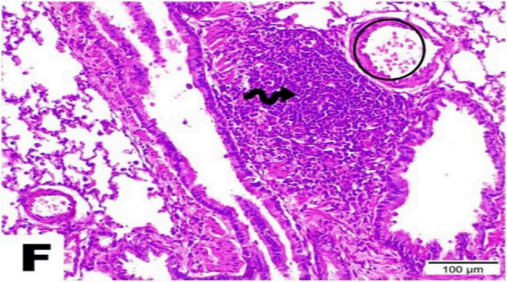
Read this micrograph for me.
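This lung section shows a dense focus of inflammatory cells lying beside bronchioles and blood vessels. The inflammatory cells are small and round with dark purple nuclei and scant cytoplasm, packed tightly together. The bronchiolar lumens are lined by an epithelium of columnar cells with purple nuclei. A small blood vessel at the upper right contains red blood cells. Alveoli with thin septa are seen at the left edge.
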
